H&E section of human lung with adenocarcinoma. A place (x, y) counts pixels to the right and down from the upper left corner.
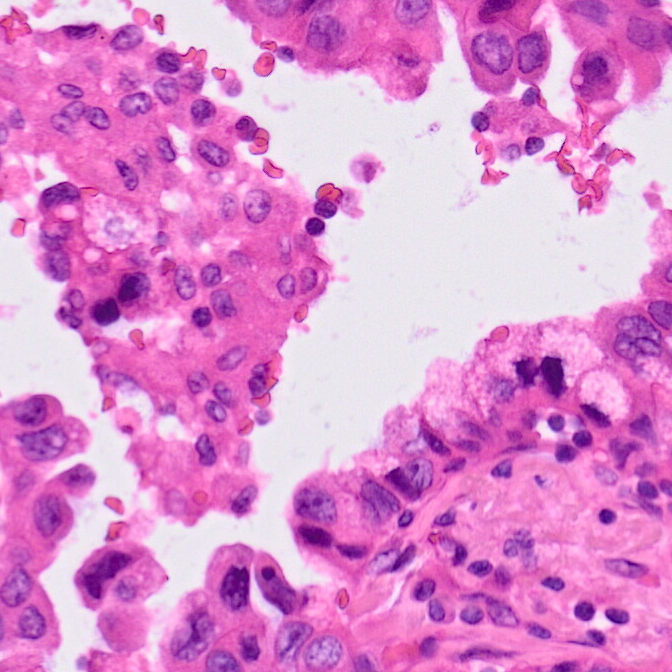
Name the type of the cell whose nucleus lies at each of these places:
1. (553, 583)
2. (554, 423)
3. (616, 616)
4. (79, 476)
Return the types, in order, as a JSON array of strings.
["lymphocyte", "lymphocyte", "lymphocyte", "carcinoma cell"]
